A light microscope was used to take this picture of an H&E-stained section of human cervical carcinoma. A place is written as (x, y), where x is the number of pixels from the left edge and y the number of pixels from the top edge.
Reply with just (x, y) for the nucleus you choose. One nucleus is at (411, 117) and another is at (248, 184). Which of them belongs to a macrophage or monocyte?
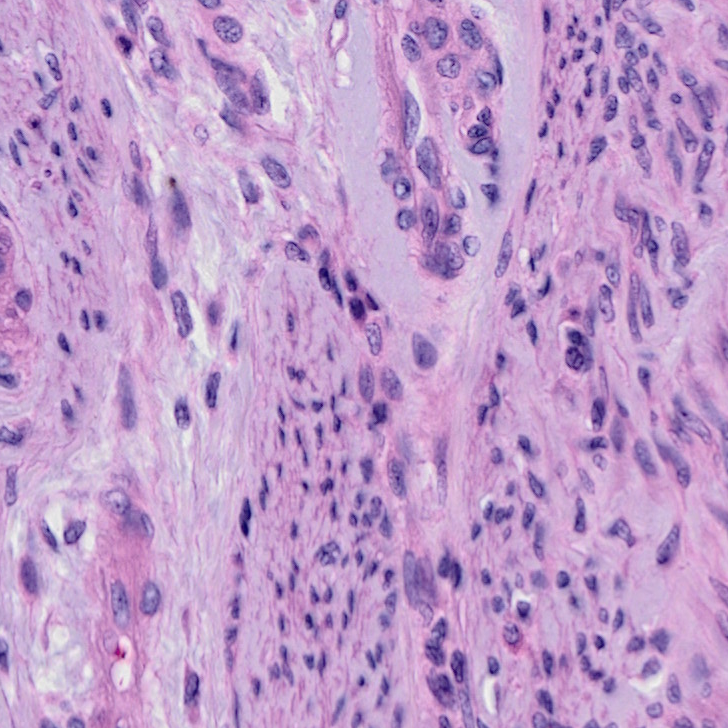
(248, 184)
